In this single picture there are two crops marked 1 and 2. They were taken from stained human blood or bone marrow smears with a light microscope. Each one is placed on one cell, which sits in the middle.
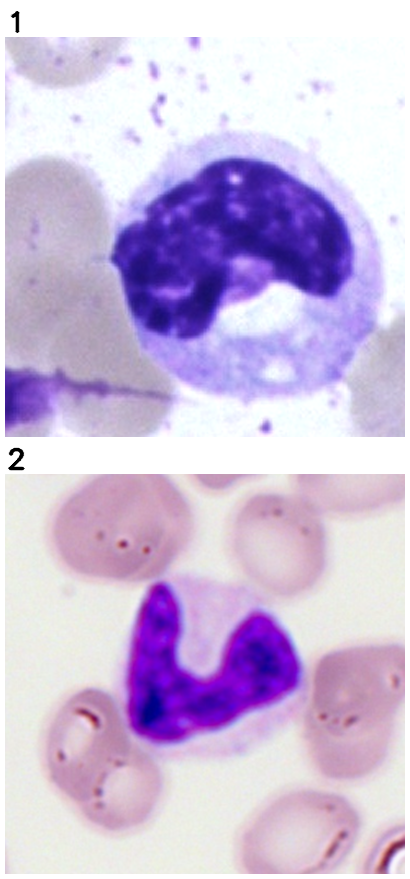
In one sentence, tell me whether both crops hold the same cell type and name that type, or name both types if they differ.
Yes, the middle cells in both crops are indeed band neutrophils.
